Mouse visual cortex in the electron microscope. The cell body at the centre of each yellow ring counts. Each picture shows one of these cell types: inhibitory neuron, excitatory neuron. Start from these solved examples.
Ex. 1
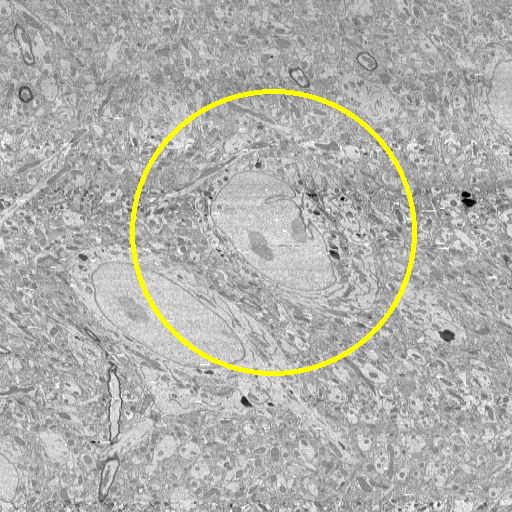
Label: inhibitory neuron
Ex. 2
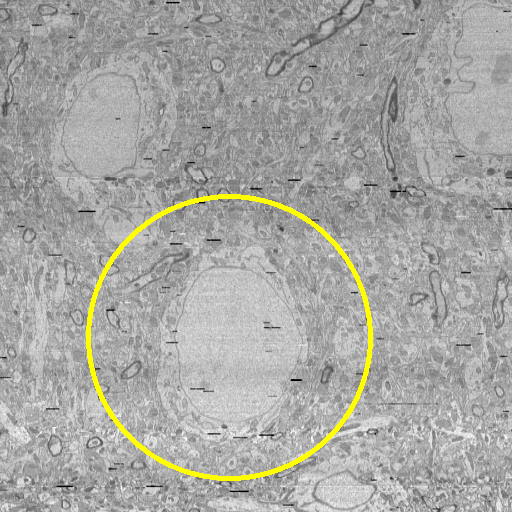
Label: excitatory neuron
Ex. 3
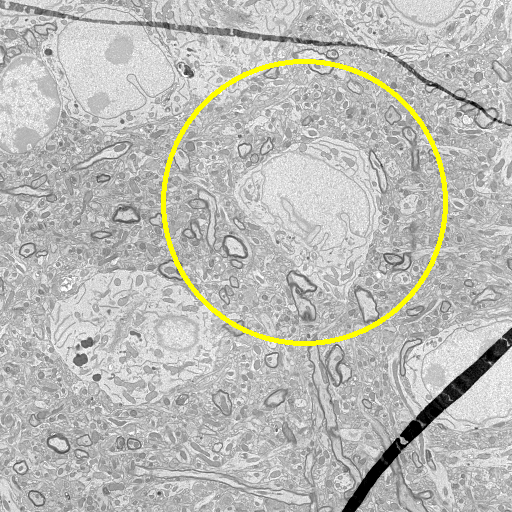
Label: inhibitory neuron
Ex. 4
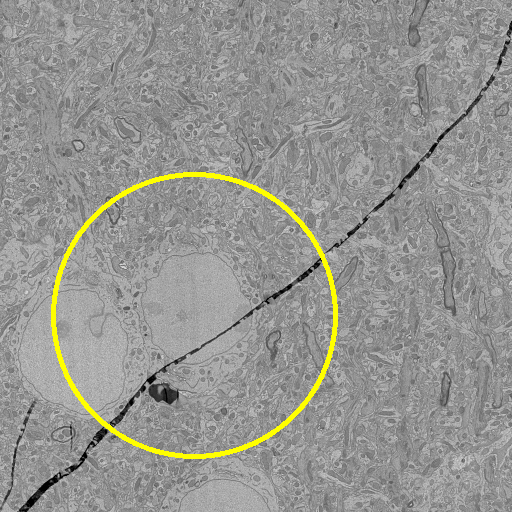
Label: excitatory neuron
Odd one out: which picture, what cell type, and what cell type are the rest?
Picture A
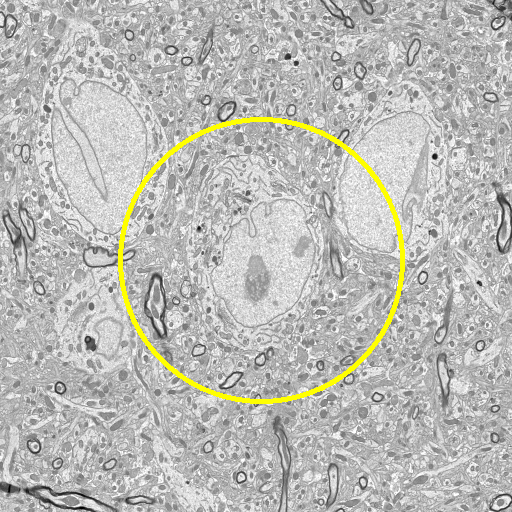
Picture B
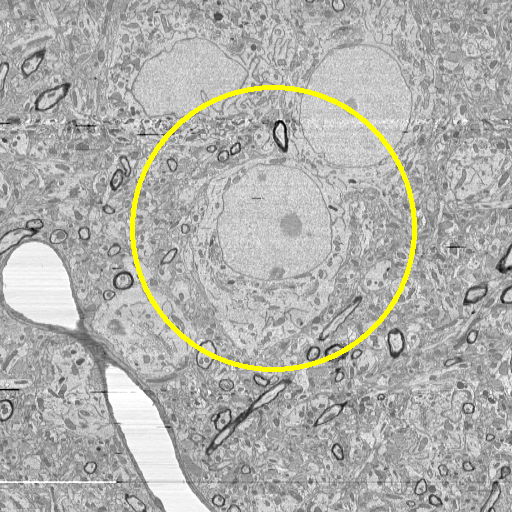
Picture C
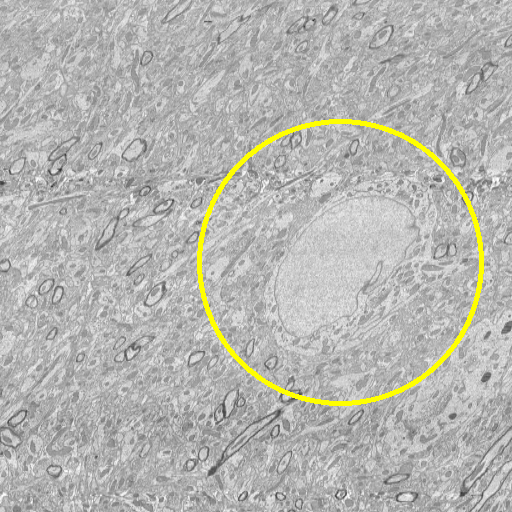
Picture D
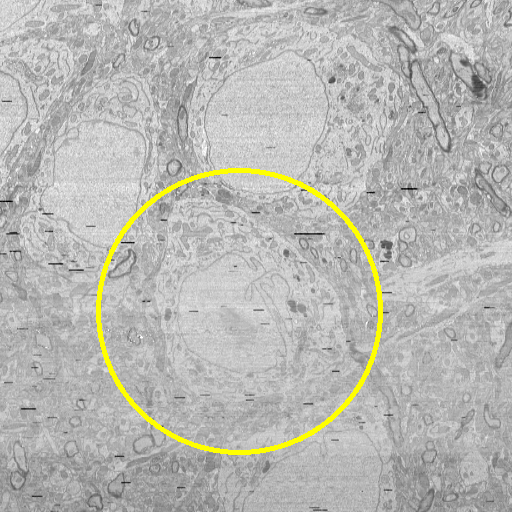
Exception: B, showing excitatory neuron. Remaining pictures: inhibitory neuron.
